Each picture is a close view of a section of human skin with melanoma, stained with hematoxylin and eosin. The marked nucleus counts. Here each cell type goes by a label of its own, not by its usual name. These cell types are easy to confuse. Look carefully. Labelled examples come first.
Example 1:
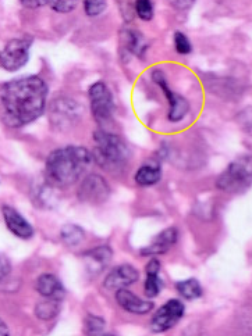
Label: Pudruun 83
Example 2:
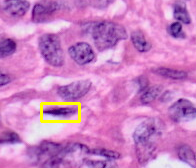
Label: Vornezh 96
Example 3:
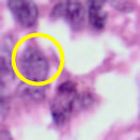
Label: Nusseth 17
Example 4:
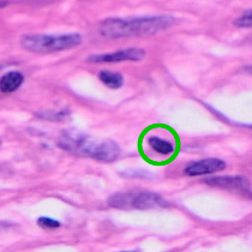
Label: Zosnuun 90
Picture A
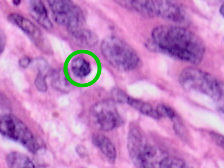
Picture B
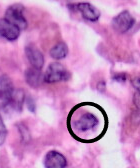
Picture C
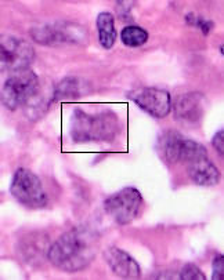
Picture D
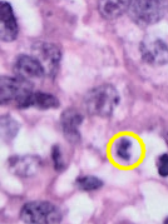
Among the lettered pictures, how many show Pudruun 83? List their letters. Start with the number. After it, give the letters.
1, namely B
